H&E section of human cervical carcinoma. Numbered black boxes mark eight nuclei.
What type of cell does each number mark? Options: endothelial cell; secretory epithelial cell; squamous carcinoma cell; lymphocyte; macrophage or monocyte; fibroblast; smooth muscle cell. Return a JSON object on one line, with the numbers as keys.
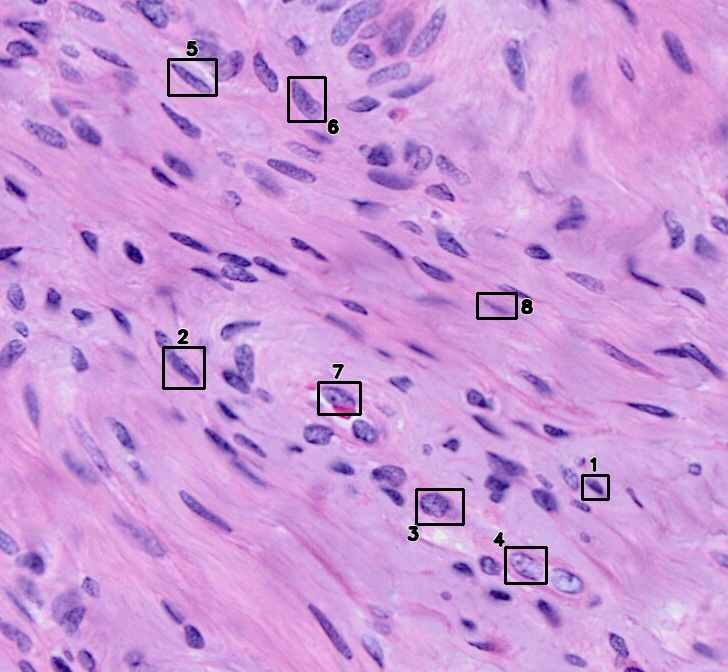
{"1": "fibroblast", "2": "fibroblast", "3": "endothelial cell", "4": "endothelial cell", "5": "fibroblast", "6": "fibroblast", "7": "endothelial cell", "8": "fibroblast"}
